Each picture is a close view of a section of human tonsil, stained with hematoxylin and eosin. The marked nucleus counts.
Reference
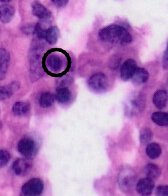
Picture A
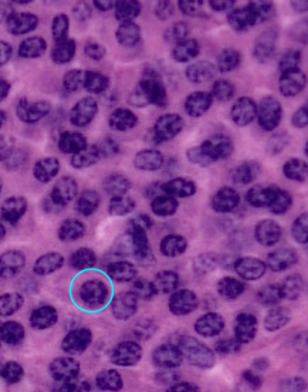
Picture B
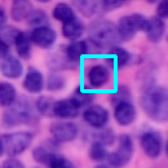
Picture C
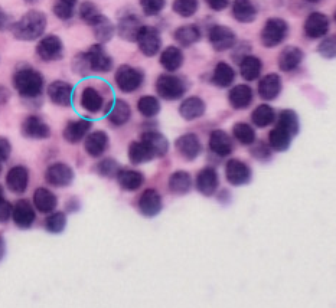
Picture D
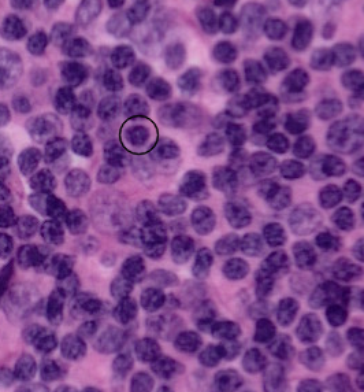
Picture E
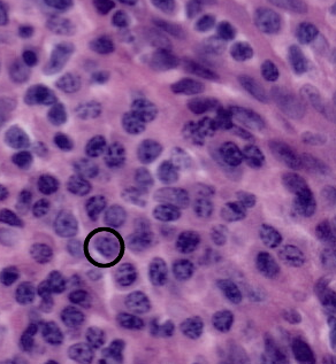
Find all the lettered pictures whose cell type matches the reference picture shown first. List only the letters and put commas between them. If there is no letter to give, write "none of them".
A, E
